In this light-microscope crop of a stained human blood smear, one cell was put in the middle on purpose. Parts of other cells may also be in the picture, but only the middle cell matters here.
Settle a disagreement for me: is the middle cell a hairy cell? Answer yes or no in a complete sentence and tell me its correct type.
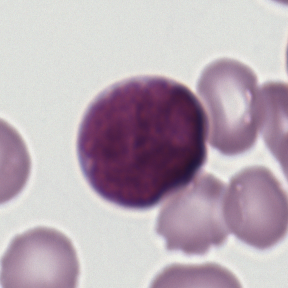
No, the middle cell is classified as a myeloblast and not as a hairy cell.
